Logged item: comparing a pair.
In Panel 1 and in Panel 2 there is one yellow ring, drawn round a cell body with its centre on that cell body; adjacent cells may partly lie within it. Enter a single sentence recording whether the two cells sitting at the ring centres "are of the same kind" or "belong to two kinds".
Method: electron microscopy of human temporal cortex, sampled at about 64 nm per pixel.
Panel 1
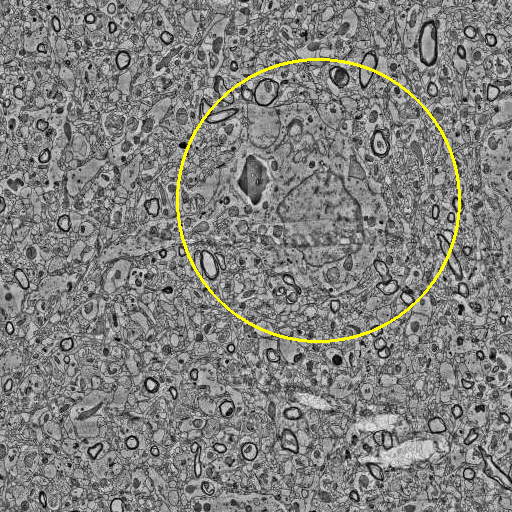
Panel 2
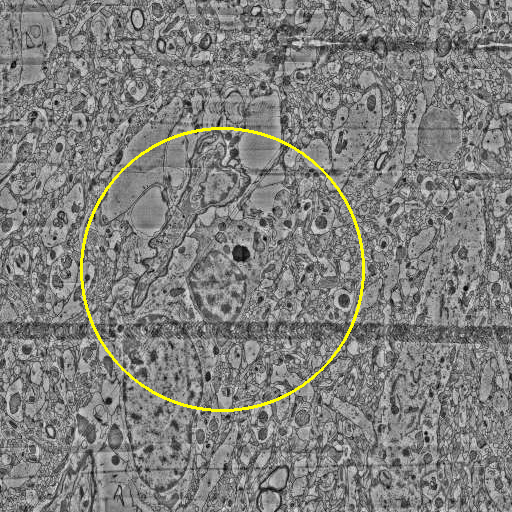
Logged: the cells centred in the rings of Panel 1 and Panel 2 belong to two kinds.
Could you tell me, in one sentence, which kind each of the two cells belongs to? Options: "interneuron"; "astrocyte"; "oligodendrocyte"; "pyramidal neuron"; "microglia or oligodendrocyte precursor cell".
At the centre of the first ring sits an interneuron, and at the centre of the second sits an oligodendrocyte.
